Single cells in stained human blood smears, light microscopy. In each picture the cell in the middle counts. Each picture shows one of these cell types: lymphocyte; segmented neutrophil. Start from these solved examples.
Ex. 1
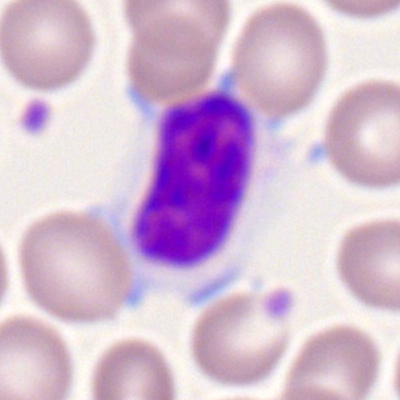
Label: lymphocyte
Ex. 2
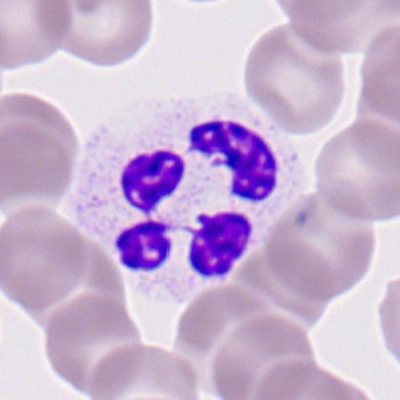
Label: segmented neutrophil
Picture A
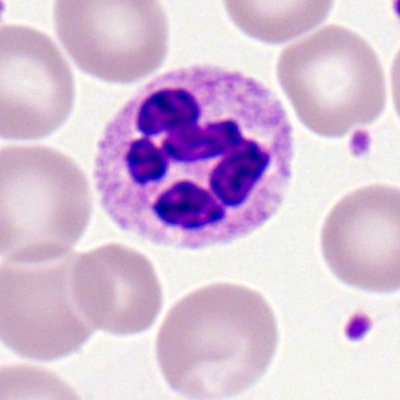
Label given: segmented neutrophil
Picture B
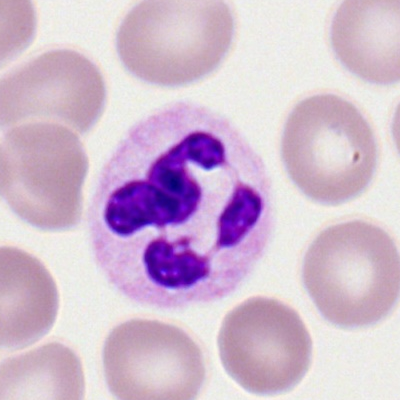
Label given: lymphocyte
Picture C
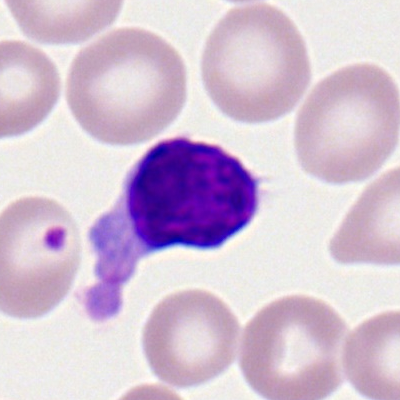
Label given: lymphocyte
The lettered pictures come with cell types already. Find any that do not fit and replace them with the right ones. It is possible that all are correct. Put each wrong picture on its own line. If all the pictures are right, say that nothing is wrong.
B: change lymphocyte to segmented neutrophil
